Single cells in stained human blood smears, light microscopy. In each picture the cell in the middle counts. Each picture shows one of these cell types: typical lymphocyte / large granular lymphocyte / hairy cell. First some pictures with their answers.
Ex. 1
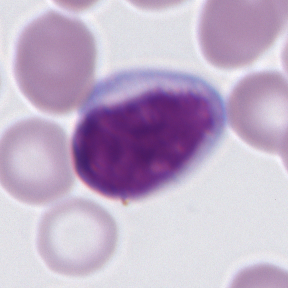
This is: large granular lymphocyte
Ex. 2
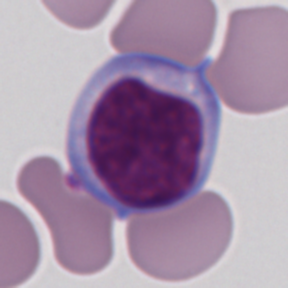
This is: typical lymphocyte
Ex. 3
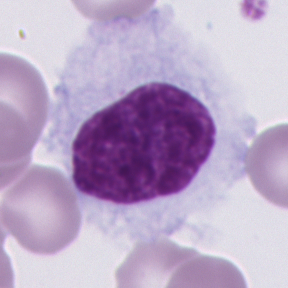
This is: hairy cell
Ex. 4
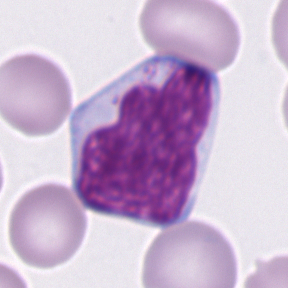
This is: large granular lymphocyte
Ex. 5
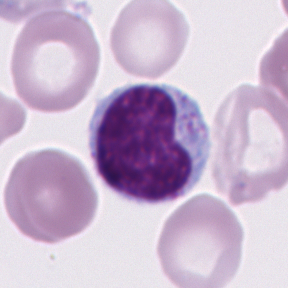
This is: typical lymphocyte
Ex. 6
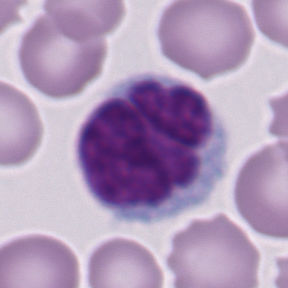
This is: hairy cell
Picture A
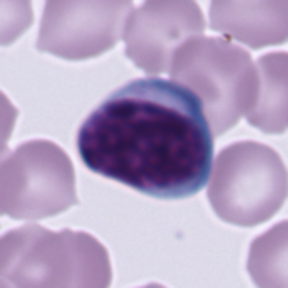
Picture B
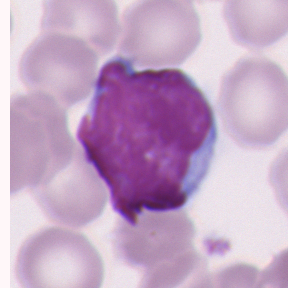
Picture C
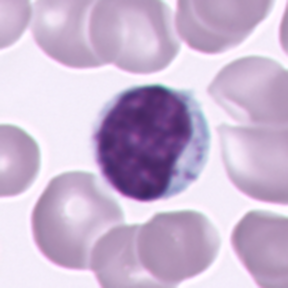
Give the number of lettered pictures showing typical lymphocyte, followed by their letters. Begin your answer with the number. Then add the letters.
3: A, B, C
